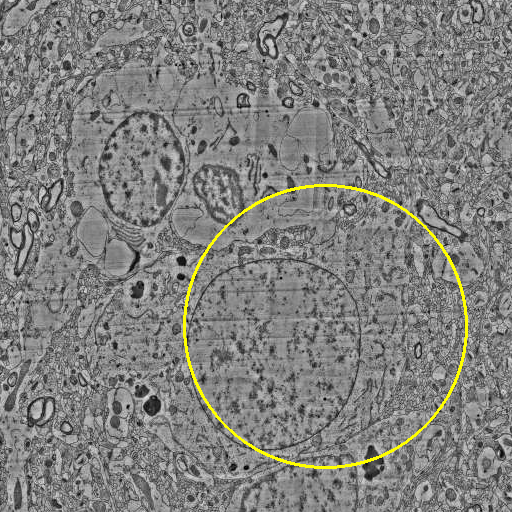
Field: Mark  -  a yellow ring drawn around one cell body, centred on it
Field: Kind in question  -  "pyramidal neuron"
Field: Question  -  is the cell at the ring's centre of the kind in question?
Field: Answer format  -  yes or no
yes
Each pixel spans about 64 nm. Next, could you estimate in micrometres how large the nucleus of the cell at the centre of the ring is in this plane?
Roughly 12 micrometres across for the nucleus, in this plane.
